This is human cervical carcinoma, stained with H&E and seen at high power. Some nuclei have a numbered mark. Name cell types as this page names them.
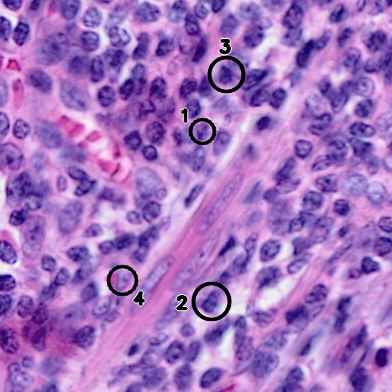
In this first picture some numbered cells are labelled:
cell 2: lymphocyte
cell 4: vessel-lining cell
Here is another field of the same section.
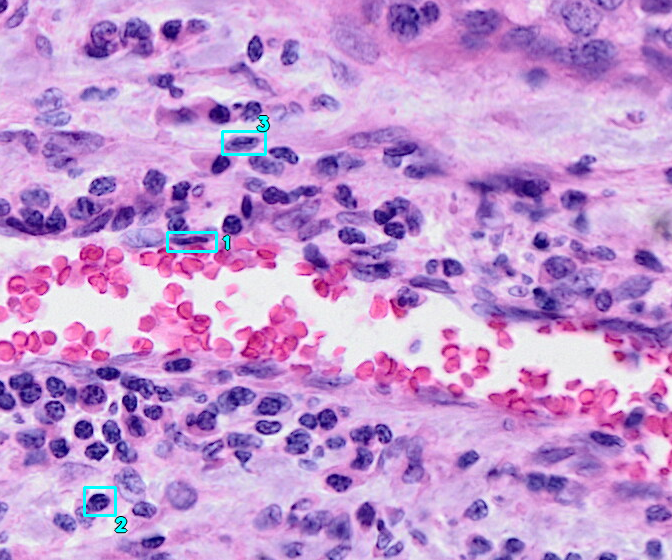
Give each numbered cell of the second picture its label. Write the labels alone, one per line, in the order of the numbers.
vessel-lining cell
lymphocyte
lymphocyte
